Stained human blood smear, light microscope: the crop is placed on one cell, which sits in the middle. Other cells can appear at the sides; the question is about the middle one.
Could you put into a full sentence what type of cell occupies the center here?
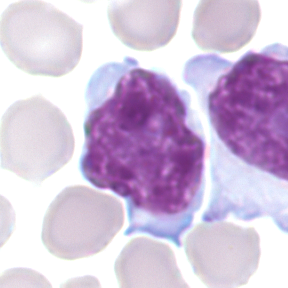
The centered cell in this crop is a plasma cell.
